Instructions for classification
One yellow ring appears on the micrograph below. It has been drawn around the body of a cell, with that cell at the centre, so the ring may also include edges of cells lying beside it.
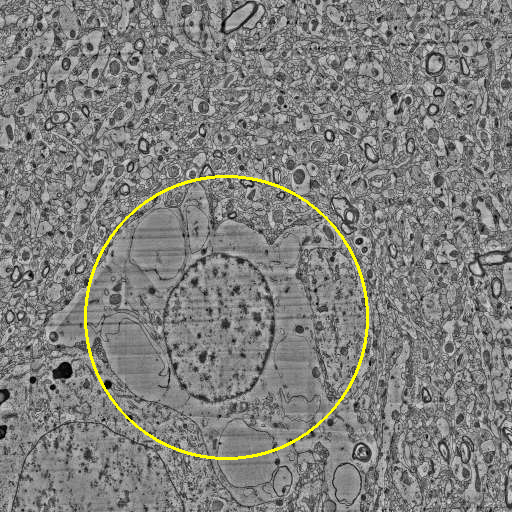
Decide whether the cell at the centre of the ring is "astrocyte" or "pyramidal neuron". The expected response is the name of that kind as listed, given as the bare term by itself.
astrocyte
